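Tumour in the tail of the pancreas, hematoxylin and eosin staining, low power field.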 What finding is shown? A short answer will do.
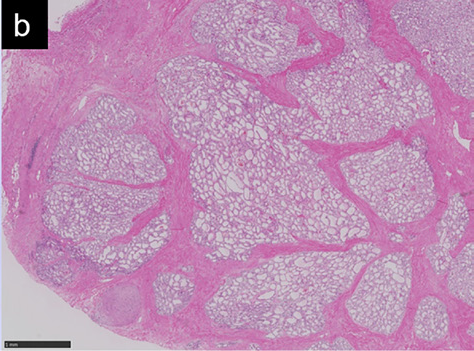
Microcystic appearance.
